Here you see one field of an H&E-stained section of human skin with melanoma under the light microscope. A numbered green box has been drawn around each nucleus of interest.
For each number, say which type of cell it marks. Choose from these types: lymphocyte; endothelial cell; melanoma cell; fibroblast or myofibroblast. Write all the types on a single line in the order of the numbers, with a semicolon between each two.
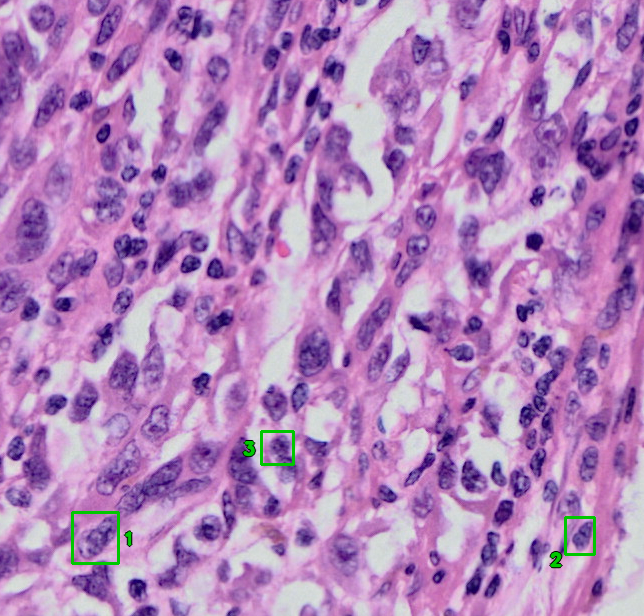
melanoma cell; lymphocyte; melanoma cell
